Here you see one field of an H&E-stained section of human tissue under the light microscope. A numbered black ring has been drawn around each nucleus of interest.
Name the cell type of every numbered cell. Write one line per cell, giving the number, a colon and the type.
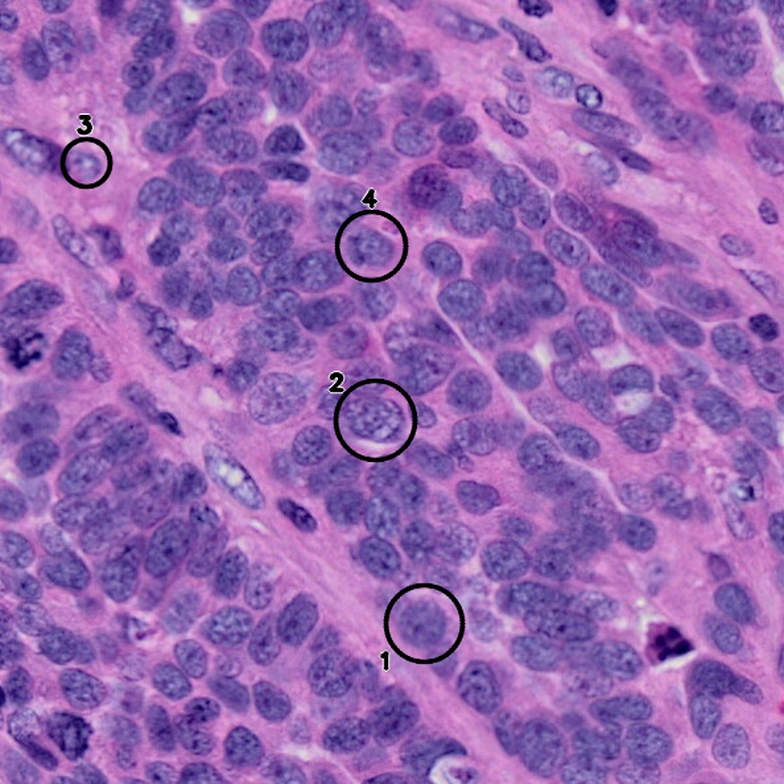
1: carcinoma cell
2: carcinoma cell
3: fibroblast
4: carcinoma cell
